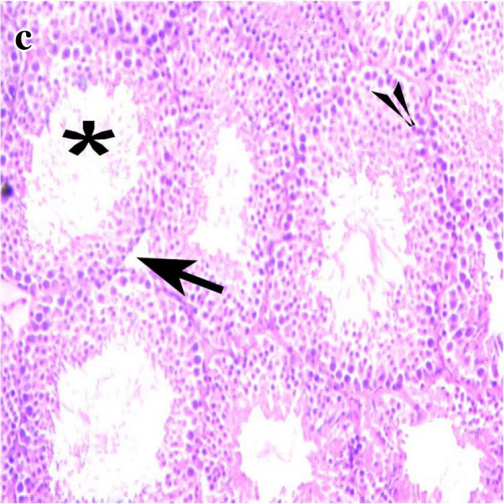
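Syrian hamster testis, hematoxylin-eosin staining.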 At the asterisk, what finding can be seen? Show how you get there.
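Regression of seminiferous tubules. The marked area is a wide pale centre of a tubule with few cells. The cell layers around it are thinner than in packed tubules.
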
